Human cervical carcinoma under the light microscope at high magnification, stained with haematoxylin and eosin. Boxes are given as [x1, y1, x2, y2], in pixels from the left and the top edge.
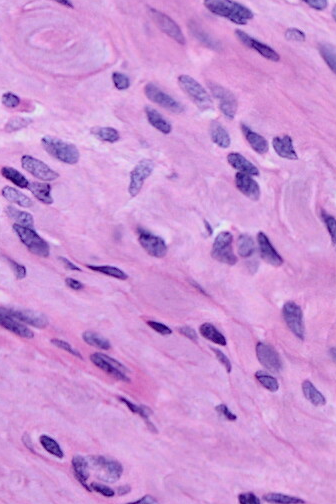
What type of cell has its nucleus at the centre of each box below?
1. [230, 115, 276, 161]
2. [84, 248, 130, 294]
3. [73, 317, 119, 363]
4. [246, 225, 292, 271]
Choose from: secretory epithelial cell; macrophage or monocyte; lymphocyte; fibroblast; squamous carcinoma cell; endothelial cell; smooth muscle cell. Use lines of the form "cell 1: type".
cell 1: fibroblast
cell 2: fibroblast
cell 3: smooth muscle cell
cell 4: fibroblast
